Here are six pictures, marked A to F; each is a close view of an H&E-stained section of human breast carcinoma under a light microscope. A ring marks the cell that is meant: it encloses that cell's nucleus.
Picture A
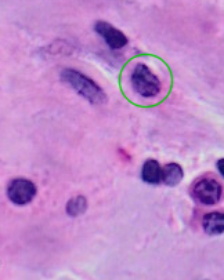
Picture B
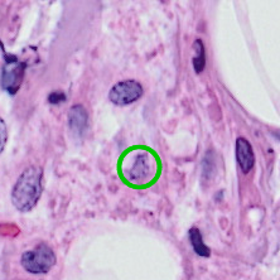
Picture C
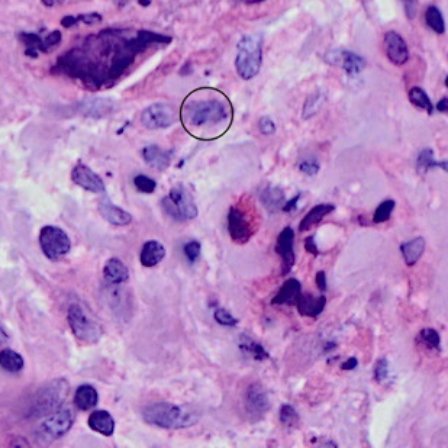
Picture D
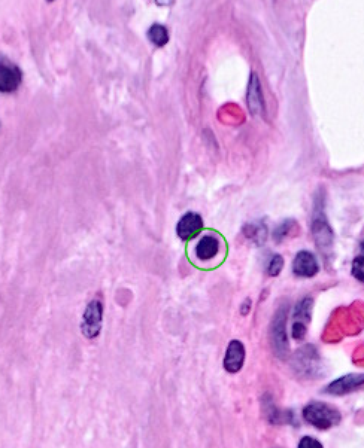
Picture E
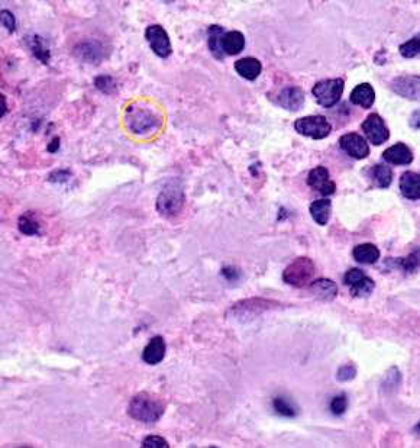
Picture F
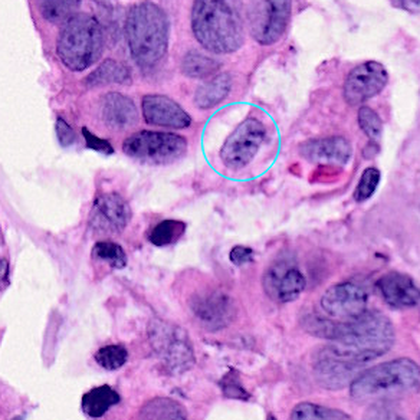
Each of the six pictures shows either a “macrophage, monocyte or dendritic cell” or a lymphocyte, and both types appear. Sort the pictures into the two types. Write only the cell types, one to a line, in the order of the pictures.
lymphocyte
macrophage, monocyte or dendritic cell
macrophage, monocyte or dendritic cell
lymphocyte
macrophage, monocyte or dendritic cell
macrophage, monocyte or dendritic cell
